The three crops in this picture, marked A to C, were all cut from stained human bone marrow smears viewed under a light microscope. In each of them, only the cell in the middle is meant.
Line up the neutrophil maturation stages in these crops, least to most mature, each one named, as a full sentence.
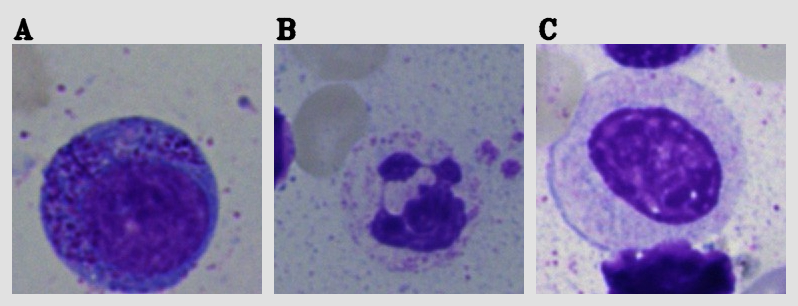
The progression from least to most mature runs crop A (a promyelocyte), crop C (a myelocyte) and crop B (a segmented neutrophil).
